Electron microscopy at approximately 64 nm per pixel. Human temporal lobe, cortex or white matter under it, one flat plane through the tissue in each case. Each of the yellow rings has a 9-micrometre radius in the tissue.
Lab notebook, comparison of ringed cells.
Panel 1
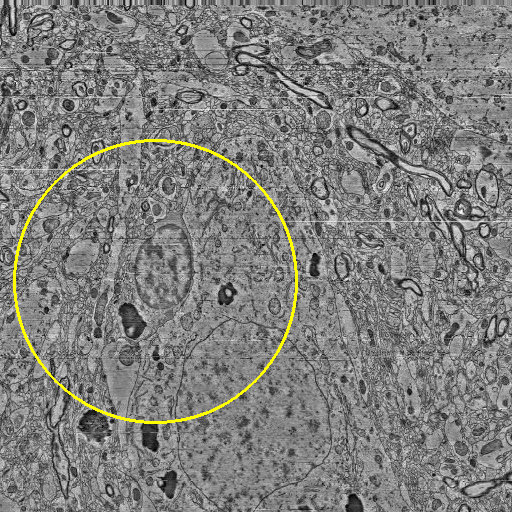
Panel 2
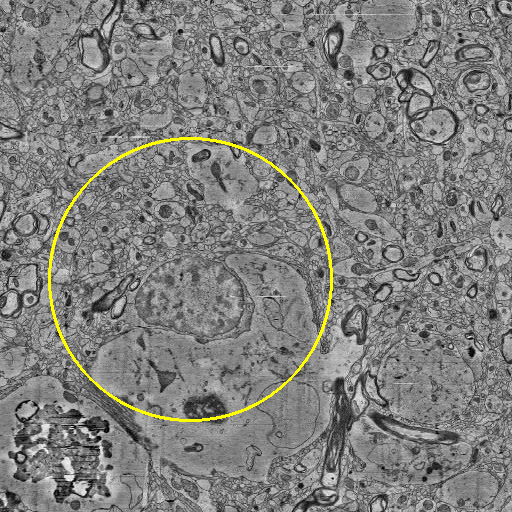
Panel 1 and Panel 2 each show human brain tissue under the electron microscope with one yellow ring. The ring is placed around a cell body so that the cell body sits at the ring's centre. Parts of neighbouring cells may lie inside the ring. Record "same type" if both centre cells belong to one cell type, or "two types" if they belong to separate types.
same type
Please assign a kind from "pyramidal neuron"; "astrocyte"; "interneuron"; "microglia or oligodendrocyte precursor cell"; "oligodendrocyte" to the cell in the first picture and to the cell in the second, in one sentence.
Each of the two rings surrounds an oligodendrocyte.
